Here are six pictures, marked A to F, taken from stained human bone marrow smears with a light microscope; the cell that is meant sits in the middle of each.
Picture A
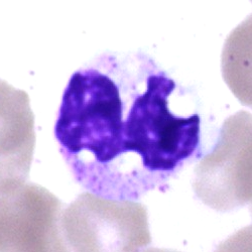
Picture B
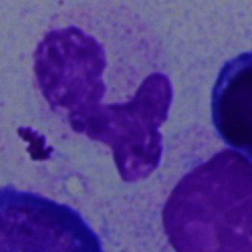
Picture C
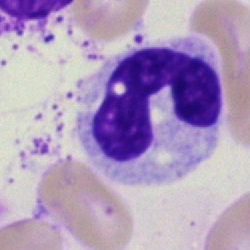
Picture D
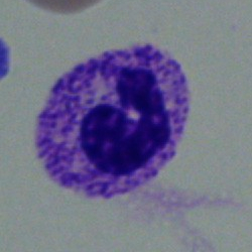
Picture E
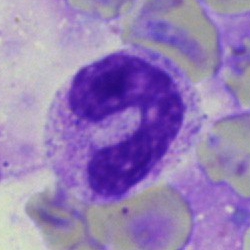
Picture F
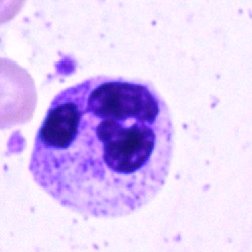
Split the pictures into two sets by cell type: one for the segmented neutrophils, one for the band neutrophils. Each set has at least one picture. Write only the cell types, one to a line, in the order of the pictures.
segmented neutrophil
band neutrophil
band neutrophil
segmented neutrophil
band neutrophil
segmented neutrophil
